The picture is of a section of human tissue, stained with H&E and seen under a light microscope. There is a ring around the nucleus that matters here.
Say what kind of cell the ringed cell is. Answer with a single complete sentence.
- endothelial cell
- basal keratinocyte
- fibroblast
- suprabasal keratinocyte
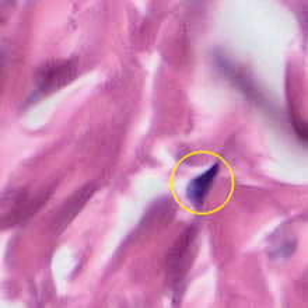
Microscopically, the ringed cell is categorized as a fibroblast.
